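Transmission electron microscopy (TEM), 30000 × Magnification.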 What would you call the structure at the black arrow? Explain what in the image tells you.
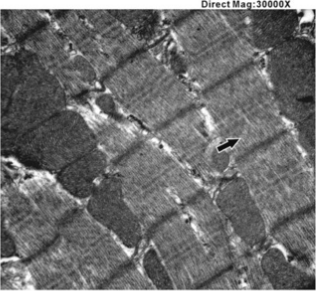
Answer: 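The arrow lies on densely packed fine parallel filaments. Regular dark transverse lines cross the filament bundles. On this evidence: myofilaments.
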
